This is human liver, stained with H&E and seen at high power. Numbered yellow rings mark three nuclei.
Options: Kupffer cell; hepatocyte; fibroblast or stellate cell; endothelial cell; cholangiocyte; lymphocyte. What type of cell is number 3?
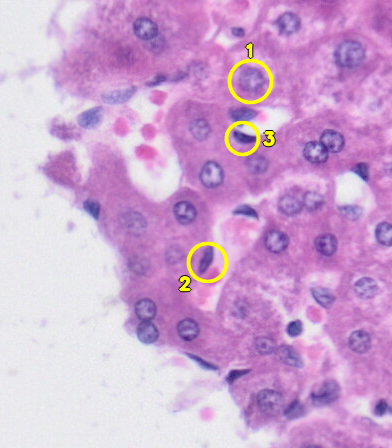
fibroblast or stellate cell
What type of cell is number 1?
hepatocyte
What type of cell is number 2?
fibroblast or stellate cell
